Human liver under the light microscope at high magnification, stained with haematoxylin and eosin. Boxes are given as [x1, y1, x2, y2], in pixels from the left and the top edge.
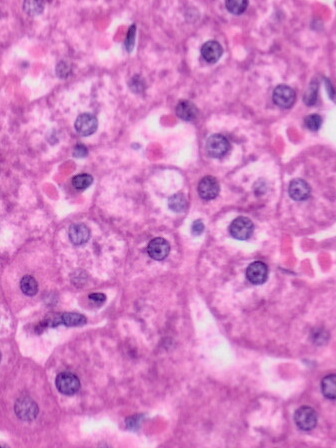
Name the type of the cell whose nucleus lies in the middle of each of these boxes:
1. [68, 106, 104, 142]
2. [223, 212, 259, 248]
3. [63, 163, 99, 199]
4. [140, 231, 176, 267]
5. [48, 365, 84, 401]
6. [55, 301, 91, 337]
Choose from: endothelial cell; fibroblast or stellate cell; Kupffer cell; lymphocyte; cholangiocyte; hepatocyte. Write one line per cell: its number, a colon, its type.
1: hepatocyte
2: hepatocyte
3: Kupffer cell
4: hepatocyte
5: hepatocyte
6: Kupffer cell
